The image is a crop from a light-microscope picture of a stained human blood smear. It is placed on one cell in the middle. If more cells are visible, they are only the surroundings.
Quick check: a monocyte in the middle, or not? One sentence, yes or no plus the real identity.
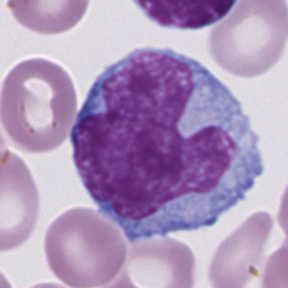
Yes, centred in the crop is a monocyte.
